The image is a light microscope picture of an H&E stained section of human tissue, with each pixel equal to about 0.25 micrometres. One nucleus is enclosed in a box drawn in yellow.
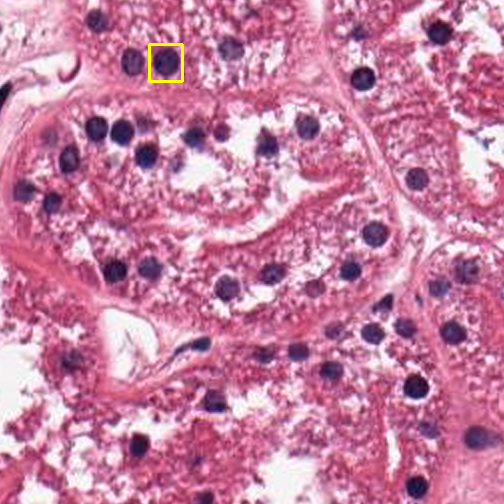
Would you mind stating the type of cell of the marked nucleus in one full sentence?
A nucleus belonging to a proximal tubule cell is the one marked.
